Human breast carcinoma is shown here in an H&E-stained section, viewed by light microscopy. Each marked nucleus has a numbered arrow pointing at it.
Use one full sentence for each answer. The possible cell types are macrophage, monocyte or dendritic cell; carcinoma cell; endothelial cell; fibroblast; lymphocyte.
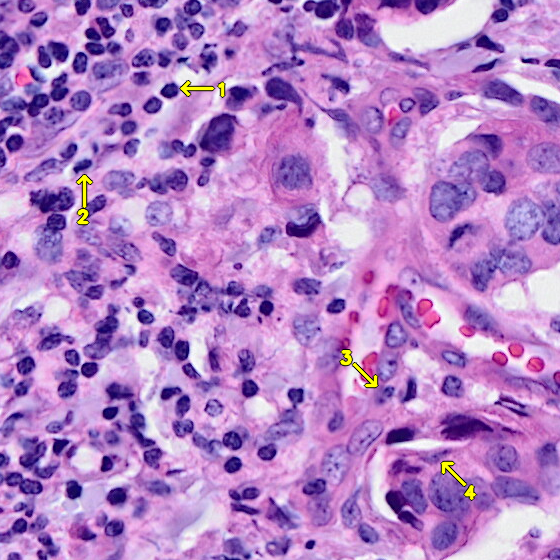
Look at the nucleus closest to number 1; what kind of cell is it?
It is a lymphocyte whose nucleus is nearest to number 1.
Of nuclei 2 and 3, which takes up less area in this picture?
Number 2 is smaller, since number 3 takes up about 1.5 times as much area.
